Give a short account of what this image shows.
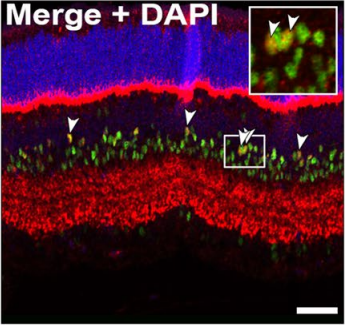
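This section of retina shows its layered arrangement, with the outer nuclear layer at the top and the inner nuclear layer in the middle. The outer nuclear layer is a thick band of tightly packed blue nuclei, bordered below by a sharp, bright red line. Beneath it, the inner nuclear layer holds a row of round green nuclei, some of which appear yellow and are marked by white arrowheads. Under this row lies a thick band of granular red label, and near the bottom of the section the ganglion cell layer has only a few faint cells. The inset enlarges a small group of green and yellow nuclei.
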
